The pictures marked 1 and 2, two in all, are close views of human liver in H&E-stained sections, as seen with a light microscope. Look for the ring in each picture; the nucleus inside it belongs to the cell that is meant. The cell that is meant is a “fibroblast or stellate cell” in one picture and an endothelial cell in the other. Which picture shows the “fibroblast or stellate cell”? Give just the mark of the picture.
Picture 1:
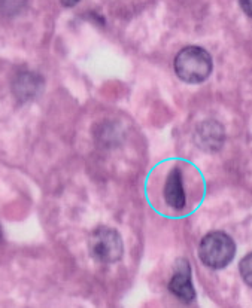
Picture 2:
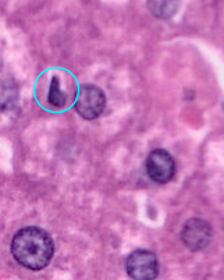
1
